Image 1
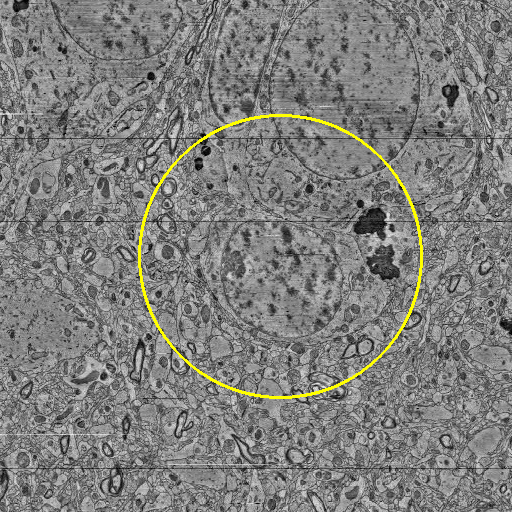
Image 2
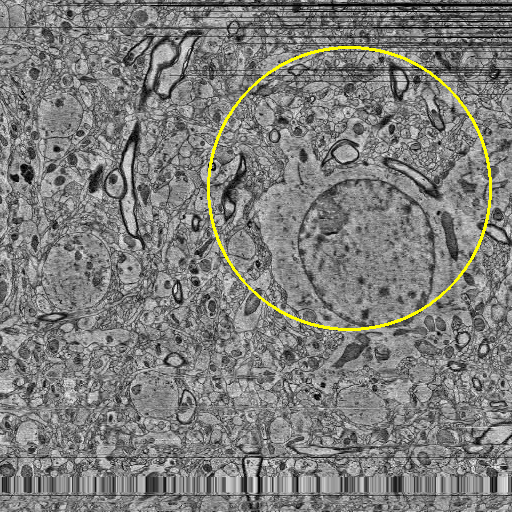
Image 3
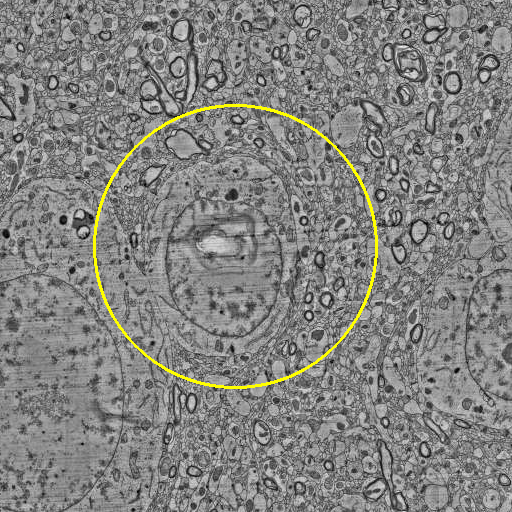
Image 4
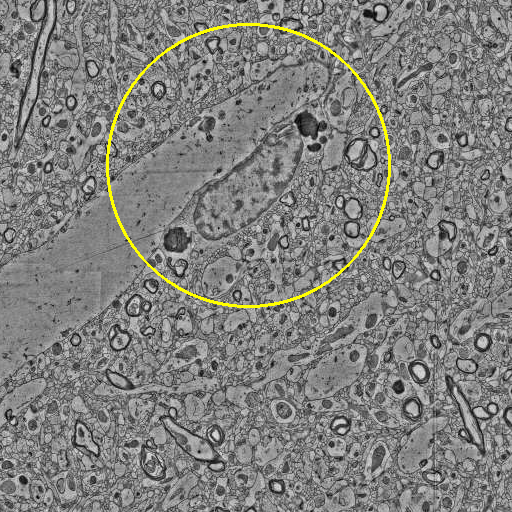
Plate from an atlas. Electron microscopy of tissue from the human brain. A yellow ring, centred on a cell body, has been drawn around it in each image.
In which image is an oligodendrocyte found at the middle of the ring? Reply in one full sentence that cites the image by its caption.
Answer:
The requested cell is the one at the ring's centre in Image 4.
